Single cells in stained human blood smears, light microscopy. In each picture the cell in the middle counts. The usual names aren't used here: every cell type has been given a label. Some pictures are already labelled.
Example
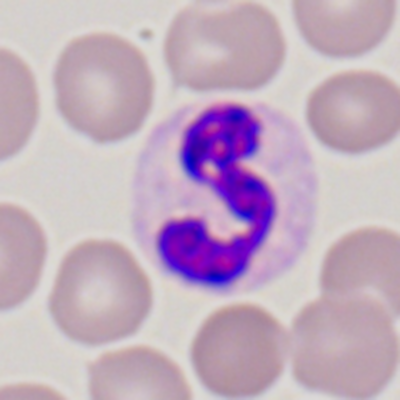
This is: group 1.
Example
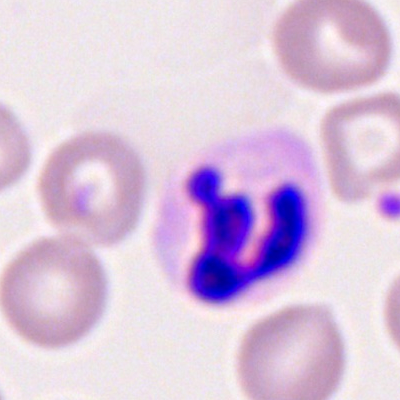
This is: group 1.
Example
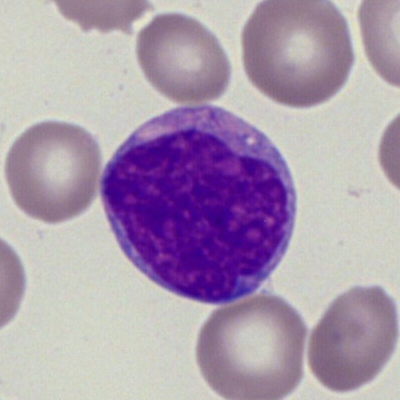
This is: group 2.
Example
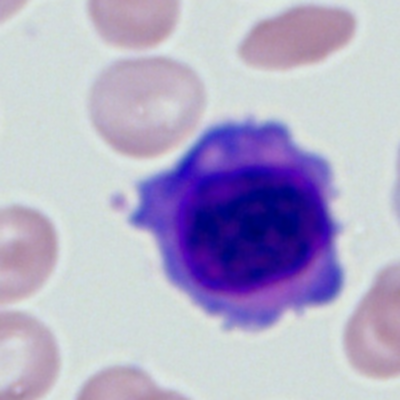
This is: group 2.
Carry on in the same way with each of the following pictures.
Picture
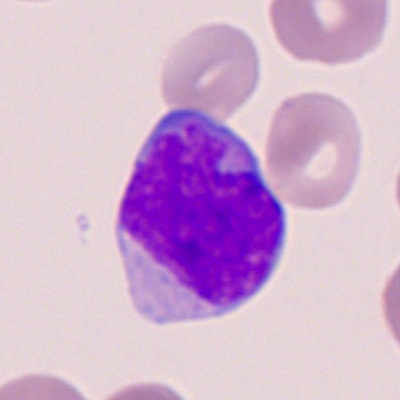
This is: group 2.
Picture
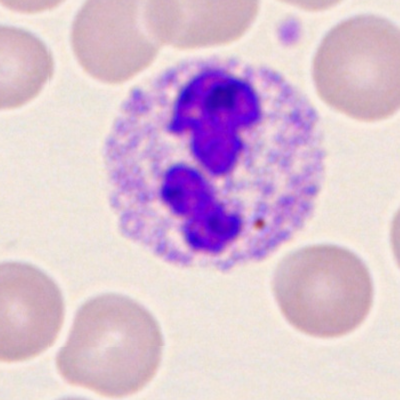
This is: group 1.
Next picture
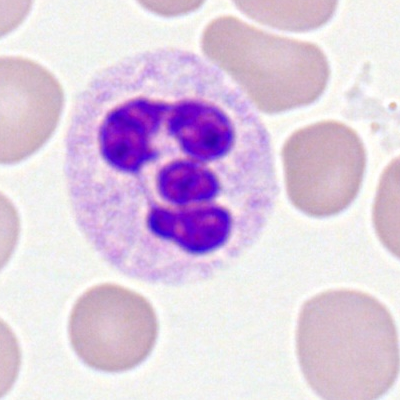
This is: group 1.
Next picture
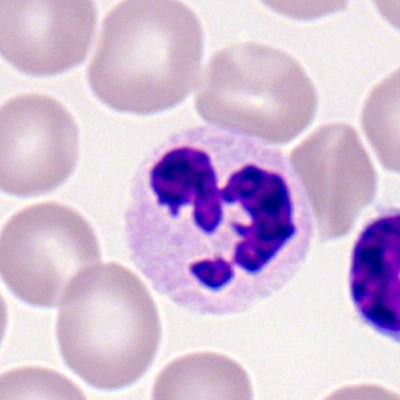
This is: group 1.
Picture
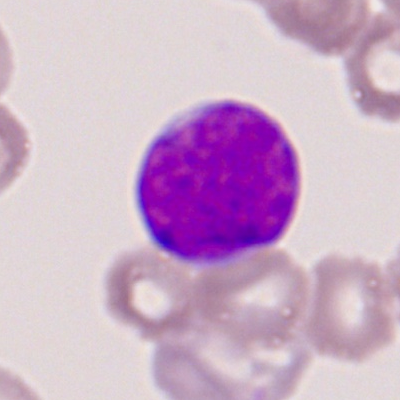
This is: group 2.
